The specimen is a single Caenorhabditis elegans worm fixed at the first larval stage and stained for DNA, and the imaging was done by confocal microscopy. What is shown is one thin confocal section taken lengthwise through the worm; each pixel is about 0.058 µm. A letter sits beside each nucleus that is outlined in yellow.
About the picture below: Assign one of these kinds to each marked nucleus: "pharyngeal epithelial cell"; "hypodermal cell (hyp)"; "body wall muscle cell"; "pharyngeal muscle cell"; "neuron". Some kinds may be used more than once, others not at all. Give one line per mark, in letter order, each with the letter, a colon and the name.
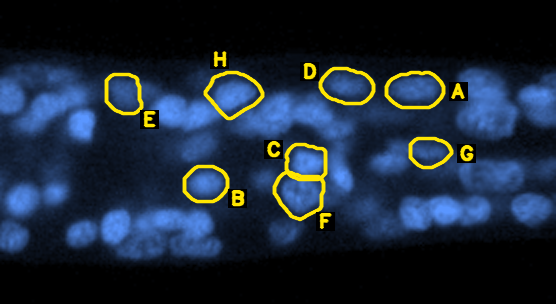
A: hypodermal cell (hyp)
B: neuron
C: neuron
D: hypodermal cell (hyp)
E: body wall muscle cell
F: pharyngeal muscle cell
G: pharyngeal muscle cell
H: neuron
